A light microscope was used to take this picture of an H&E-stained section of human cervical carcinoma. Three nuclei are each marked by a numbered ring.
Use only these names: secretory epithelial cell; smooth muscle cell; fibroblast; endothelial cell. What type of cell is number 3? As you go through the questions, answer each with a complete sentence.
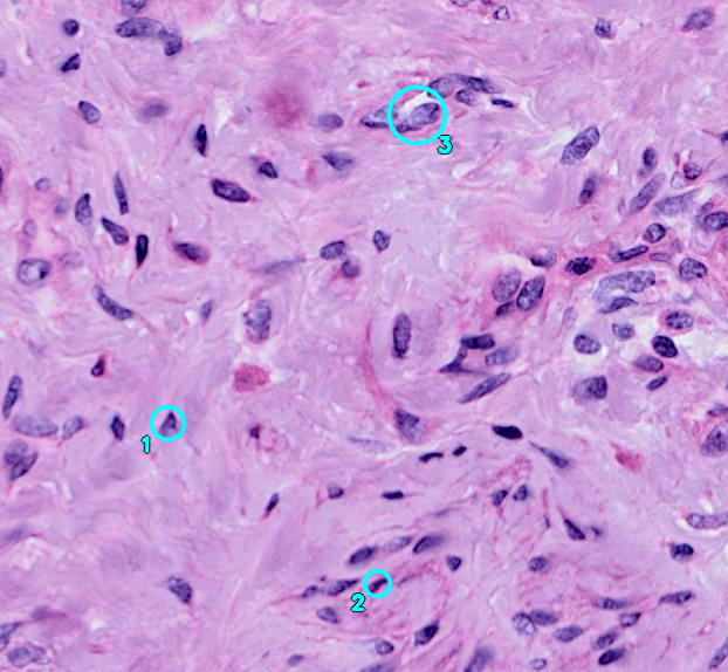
The cell that is numbered 3 is an endothelial cell.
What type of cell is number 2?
Among the marked nuclei, number 2 belongs to a smooth muscle cell.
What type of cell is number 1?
The cell identified by the number 1 is a fibroblast.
